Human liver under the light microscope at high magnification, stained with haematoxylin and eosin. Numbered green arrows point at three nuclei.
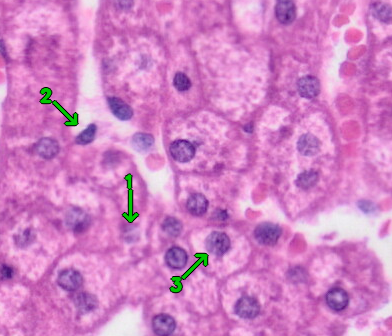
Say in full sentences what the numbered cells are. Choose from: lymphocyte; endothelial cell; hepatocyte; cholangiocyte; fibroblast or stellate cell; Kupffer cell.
Cell 1 is a hepatocyte, cell 2 is a lymphocyte and cell 3 is a hepatocyte.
